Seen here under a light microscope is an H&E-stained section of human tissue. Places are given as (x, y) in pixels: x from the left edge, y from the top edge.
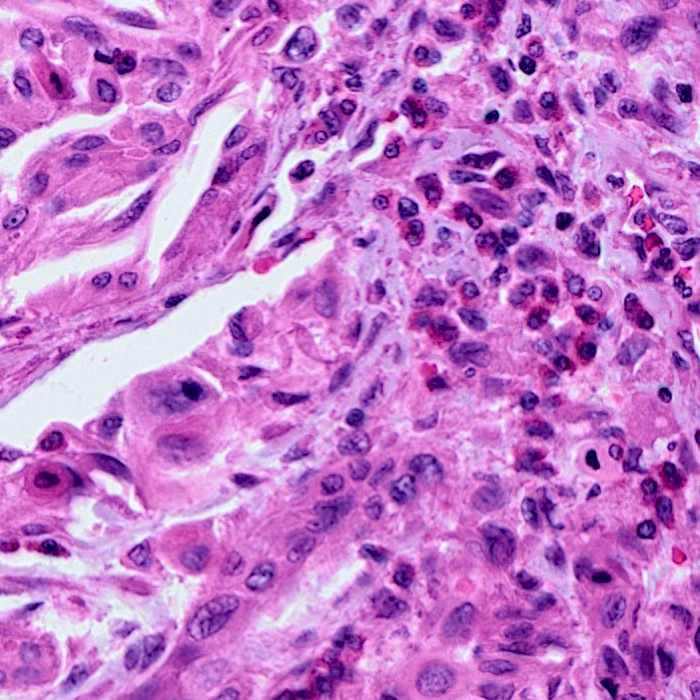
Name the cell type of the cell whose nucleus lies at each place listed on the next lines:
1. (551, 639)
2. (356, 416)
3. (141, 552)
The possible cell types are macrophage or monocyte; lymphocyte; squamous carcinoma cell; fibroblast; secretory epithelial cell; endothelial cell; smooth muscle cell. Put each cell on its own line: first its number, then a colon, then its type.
1: squamous carcinoma cell
2: lymphocyte
3: macrophage or monocyte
